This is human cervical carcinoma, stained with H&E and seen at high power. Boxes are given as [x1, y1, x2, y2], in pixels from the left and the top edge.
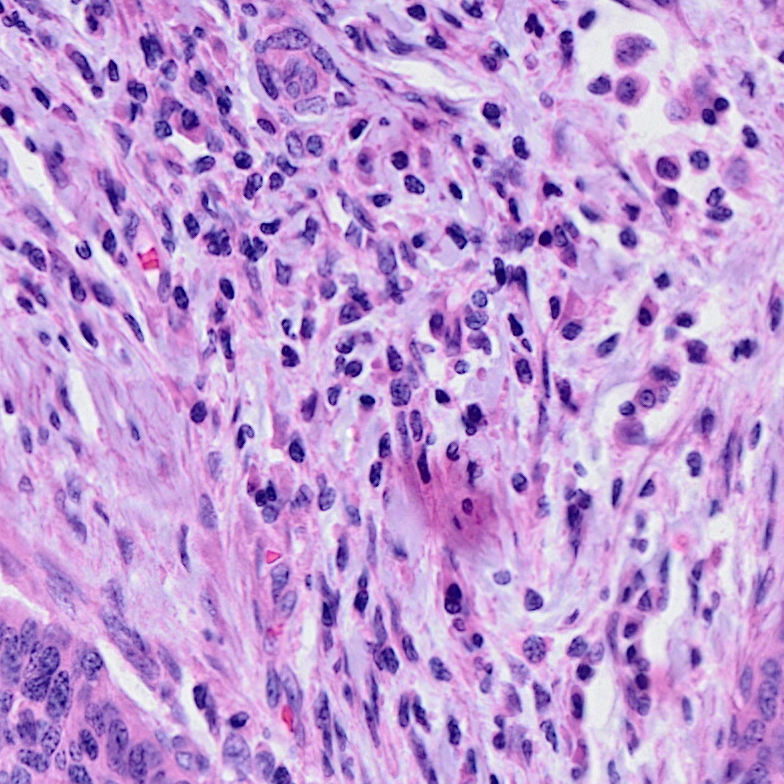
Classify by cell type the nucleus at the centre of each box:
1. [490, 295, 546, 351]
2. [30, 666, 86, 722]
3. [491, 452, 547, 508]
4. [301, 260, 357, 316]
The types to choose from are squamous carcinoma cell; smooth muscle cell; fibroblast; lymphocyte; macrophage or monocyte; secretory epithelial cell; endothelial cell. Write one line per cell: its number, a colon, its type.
1: lymphocyte
2: squamous carcinoma cell
3: lymphocyte
4: lymphocyte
